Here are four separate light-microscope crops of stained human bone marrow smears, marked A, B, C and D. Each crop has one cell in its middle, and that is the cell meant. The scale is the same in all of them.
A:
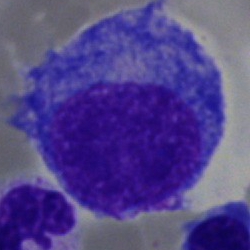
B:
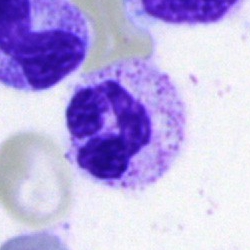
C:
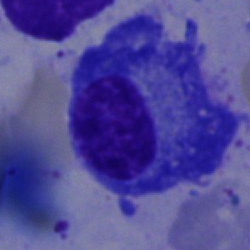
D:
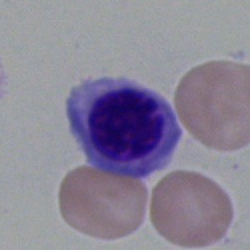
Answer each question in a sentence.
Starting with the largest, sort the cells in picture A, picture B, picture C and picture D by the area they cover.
Going down, they run A, C, B, D.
